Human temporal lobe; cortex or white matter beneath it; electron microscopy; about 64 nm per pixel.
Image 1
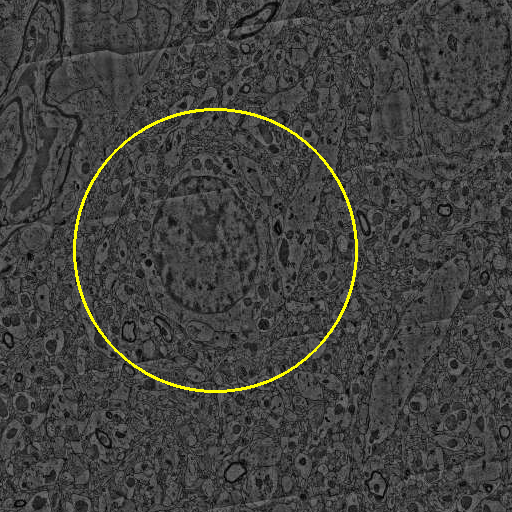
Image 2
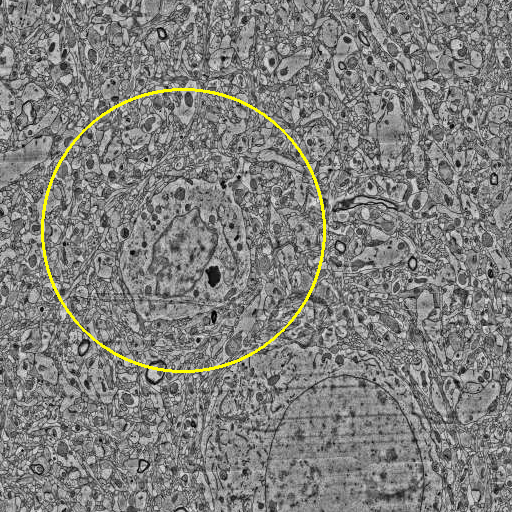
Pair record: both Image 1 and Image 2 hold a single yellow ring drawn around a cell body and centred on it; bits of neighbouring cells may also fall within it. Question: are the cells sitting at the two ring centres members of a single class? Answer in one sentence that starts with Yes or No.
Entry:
Yes, both ring-centre cells in Image 1 and Image 2 are members of one class.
